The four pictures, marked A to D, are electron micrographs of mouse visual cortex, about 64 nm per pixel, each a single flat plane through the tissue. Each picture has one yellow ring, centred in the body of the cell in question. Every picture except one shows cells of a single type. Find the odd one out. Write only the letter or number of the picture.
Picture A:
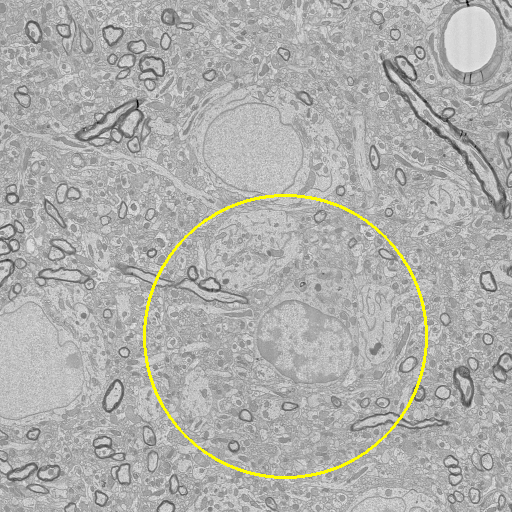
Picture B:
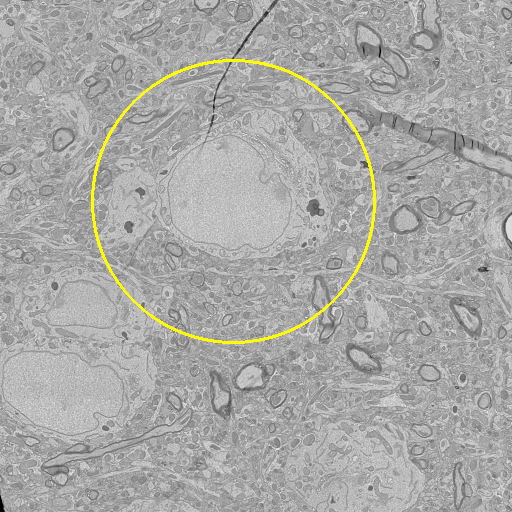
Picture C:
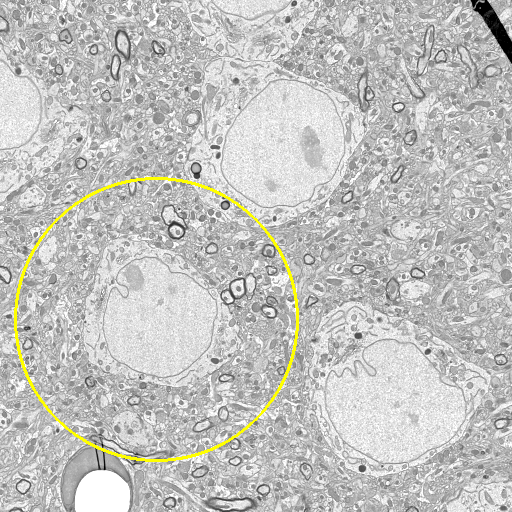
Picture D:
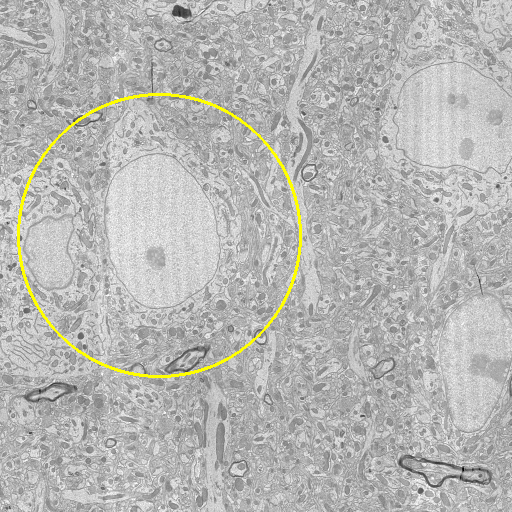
A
